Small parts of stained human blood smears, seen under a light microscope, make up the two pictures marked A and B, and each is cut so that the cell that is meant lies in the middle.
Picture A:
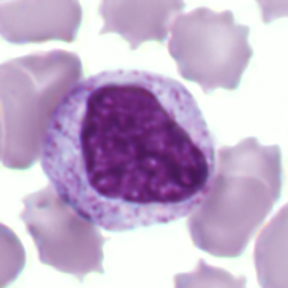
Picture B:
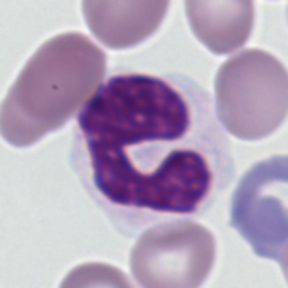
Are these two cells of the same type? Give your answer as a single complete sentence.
No, they differ: the cell is a metamyelocyte in picture A and a band neutrophil in picture B.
